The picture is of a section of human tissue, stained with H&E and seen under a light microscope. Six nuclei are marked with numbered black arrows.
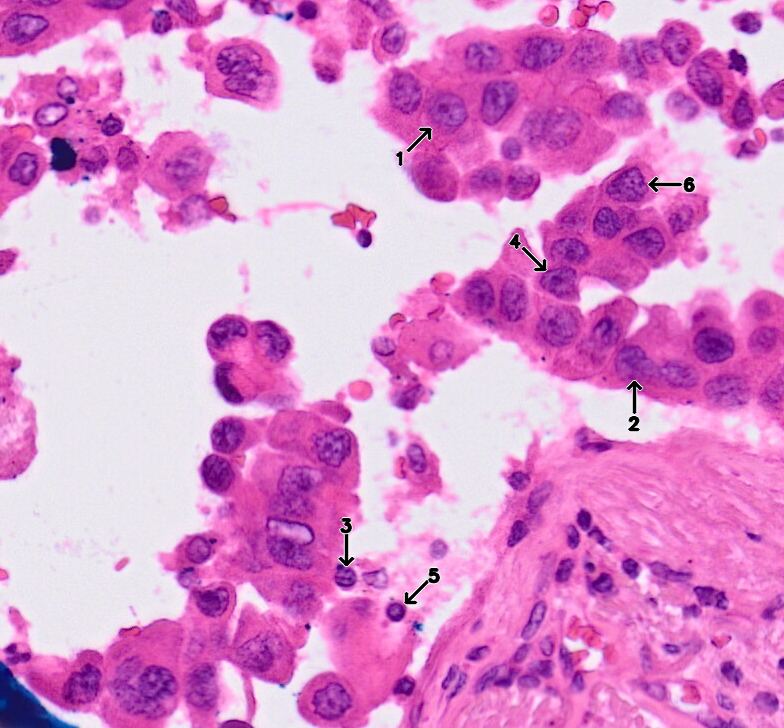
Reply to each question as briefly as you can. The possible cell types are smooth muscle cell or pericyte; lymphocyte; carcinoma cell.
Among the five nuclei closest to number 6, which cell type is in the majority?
carcinoma cell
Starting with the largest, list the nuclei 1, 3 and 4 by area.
1, 4, 3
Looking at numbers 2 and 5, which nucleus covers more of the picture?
2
